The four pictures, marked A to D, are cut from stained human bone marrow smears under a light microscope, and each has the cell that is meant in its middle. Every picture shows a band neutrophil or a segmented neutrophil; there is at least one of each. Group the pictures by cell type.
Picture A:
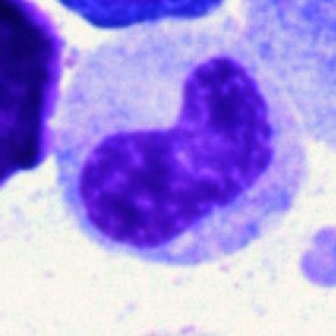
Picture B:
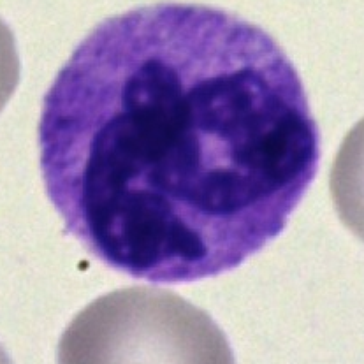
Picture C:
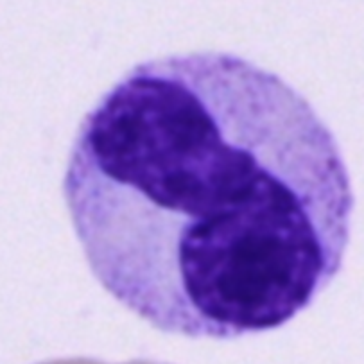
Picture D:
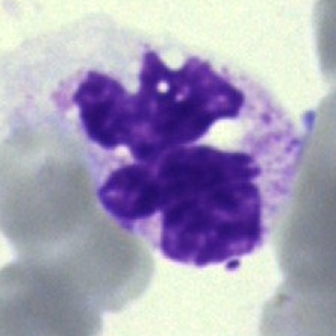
A: band neutrophil
B: segmented neutrophil
C: band neutrophil
D: segmented neutrophil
